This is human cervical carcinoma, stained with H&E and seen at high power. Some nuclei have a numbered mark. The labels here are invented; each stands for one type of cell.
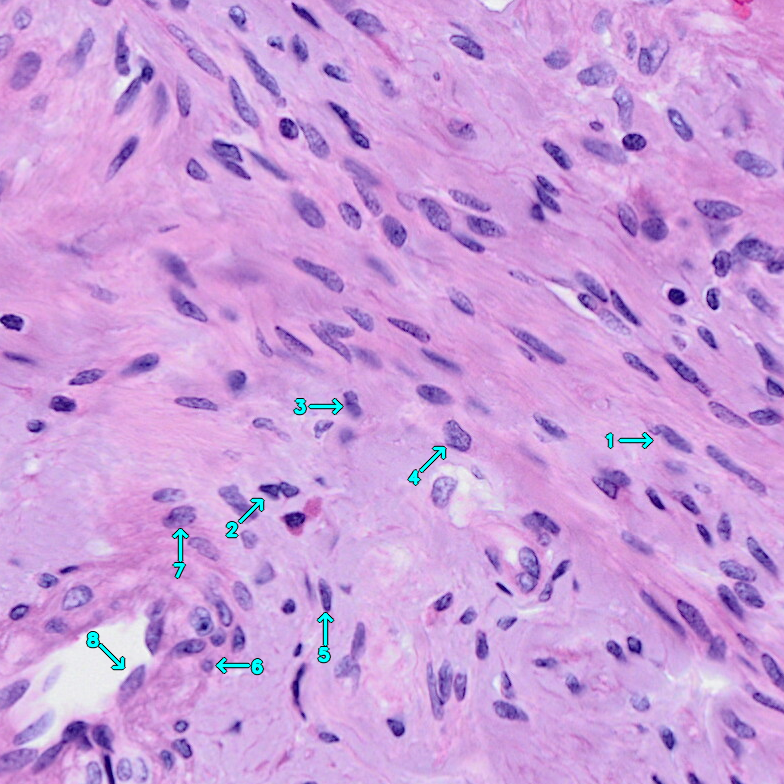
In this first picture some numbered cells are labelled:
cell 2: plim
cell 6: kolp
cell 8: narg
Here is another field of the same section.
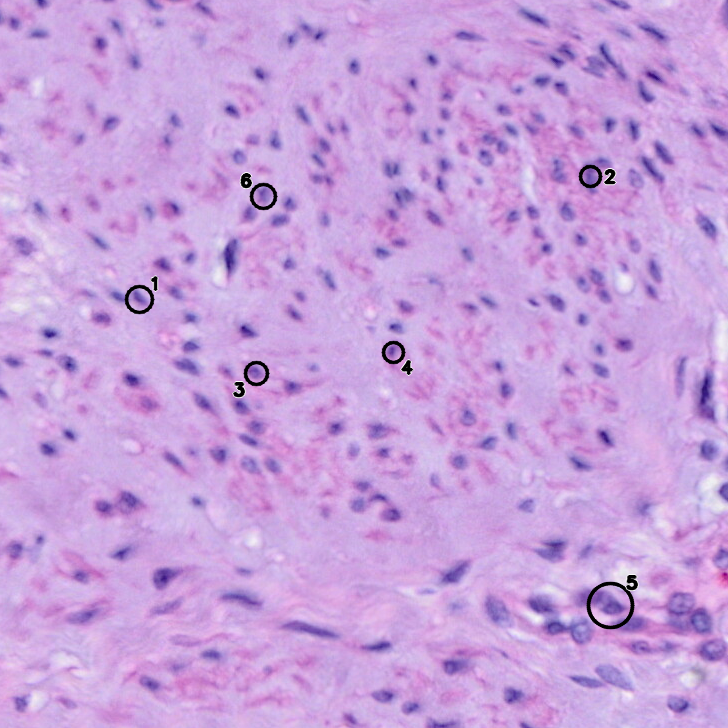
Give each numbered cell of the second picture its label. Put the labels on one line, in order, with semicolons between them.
plim; kolp; kolp; kolp; narg; kolp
